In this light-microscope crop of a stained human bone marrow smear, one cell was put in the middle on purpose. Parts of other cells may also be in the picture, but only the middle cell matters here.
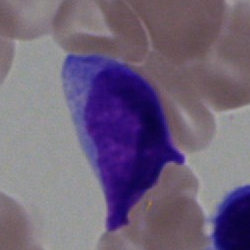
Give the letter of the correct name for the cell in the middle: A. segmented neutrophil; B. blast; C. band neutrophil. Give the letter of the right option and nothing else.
B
